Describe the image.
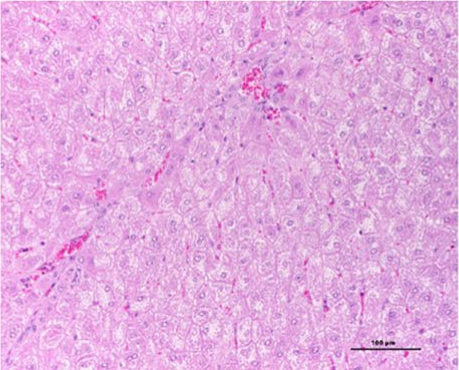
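Liver parenchyma in which hepatocytes across the whole field are swollen with pale, cleared, finely vacuolated cytoplasm, so that their borders stand out as a distinct pink network. Each cell keeps a round, centrally placed nucleus. Cords remain recognisable but sinusoids are narrowed, holding scattered red blood cells. A small vessel crowded with red blood cells lies near the top centre, and a strand of red cells runs obliquely at lower left. The picture is one of diffuse hydropic change of hepatocytes rather than focal damage; no inflammatory infiltrate is evident.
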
